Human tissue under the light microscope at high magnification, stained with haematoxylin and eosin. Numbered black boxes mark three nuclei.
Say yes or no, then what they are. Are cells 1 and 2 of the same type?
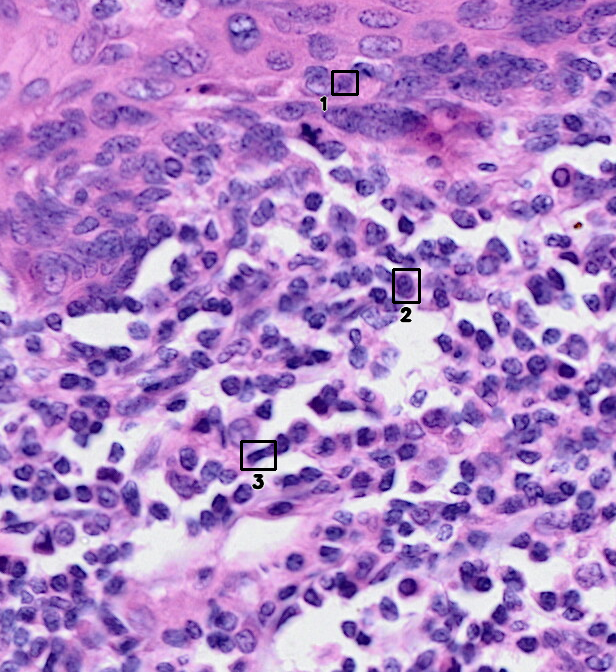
No, hold on, cell 1 is a squamous carcinoma cell and cell 2 is a lymphocyte.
